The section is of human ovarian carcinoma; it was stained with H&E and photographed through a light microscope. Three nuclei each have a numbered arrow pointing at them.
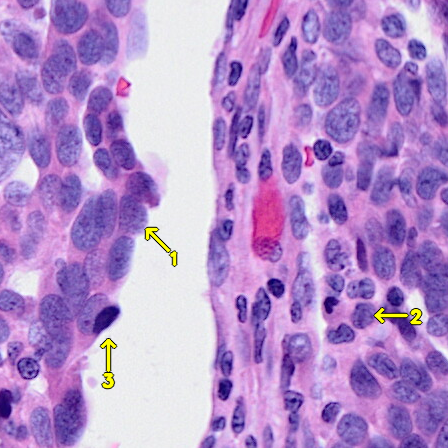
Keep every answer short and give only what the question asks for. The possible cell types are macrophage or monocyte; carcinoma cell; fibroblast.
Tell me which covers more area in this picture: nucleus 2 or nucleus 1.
1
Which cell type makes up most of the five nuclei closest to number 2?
macrophage or monocyte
